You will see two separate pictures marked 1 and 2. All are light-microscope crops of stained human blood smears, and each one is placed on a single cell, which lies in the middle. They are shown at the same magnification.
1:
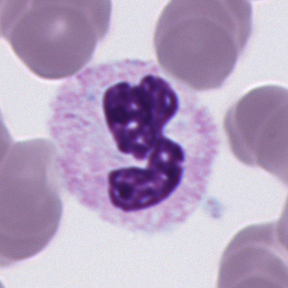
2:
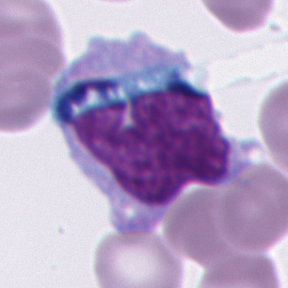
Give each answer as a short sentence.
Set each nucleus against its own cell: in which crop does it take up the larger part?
The nucleus fills more of the cell in crop 2 than in crop 1.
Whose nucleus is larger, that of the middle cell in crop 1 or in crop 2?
Crop 2 shows the larger nucleus; it covers about 2 times the area of the nucleus in crop 1.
